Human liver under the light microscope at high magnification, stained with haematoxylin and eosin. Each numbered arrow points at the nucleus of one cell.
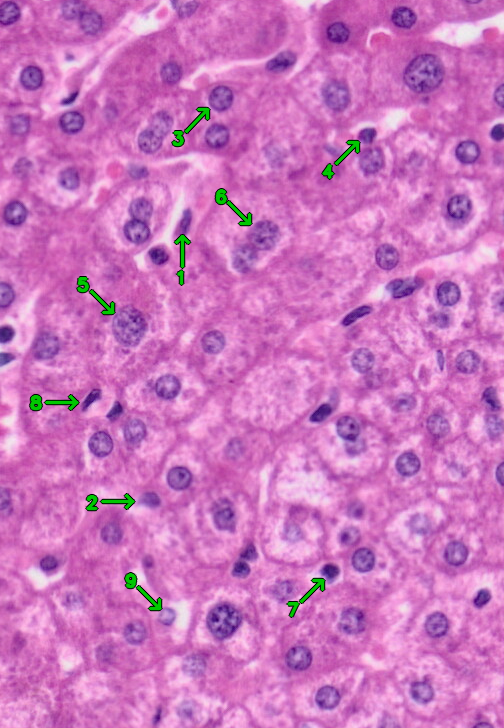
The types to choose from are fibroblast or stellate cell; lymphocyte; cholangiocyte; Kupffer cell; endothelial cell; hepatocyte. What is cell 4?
lymphocyte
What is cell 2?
endothelial cell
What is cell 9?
Kupffer cell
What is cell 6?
hepatocyte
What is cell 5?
hepatocyte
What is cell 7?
lymphocyte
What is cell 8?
endothelial cell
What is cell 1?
Kupffer cell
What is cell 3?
hepatocyte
